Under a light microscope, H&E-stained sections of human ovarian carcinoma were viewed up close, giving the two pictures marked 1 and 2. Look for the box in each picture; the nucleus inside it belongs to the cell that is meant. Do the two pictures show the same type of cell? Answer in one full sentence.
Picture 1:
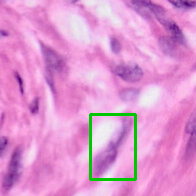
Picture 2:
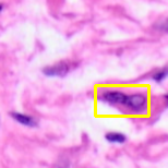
No. Picture 1 shows a fibroblast, but picture 2 shows an endothelial cell.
